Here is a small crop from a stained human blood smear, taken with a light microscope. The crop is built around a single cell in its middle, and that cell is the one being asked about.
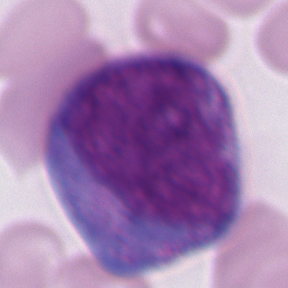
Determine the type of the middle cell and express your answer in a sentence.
Regarding the central cell, it is a promyelocyte.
